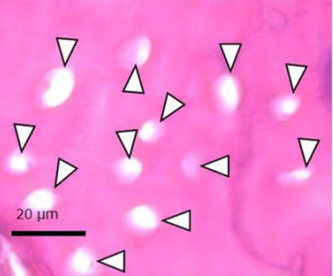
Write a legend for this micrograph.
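This is bone at high magnification in which the osteocyte lacunae are empty. The matrix stains pink, and many small oval clear spaces lie scattered through it. Unlike in healthy bone, these spaces contain no dark nucleus; they appear as pale hollows only. The lacunae are numerous and fairly close together, giving the matrix a speckled look.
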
